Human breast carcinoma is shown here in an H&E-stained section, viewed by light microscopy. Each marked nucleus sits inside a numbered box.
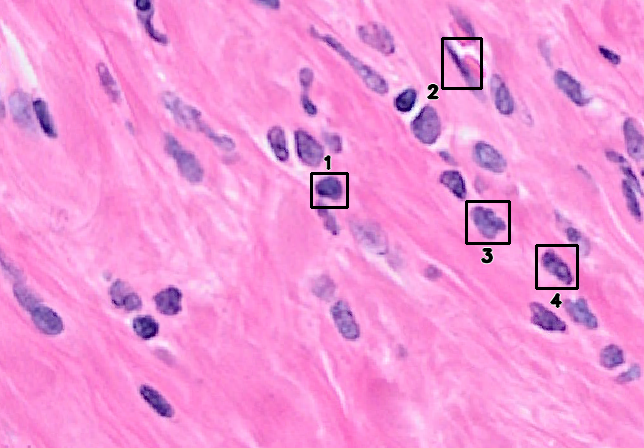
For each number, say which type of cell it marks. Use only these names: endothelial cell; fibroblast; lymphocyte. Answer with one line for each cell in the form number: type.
1: lymphocyte
2: endothelial cell
3: lymphocyte
4: lymphocyte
